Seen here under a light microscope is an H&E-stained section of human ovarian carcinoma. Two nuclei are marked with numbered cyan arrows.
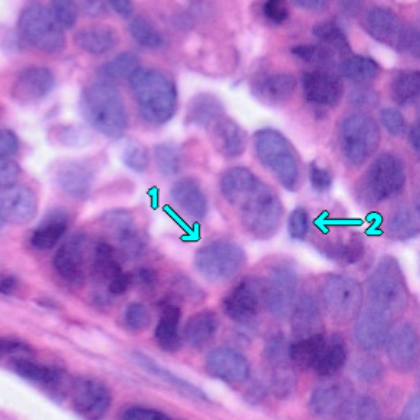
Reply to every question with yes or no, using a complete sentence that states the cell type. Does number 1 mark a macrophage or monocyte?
No, cell 1 is not a macrophage or monocyte: it is a carcinoma cell.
